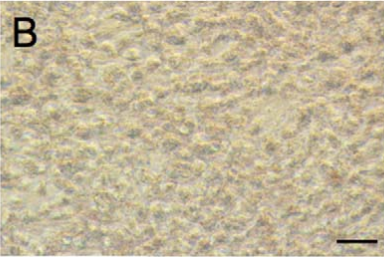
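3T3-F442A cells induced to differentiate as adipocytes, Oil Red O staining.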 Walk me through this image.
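A confluent monolayer of cultured cells, seen in brightfield, in which no red-stained droplets are visible. The cells are flat, closely packed and fairly uniform, with pale outlines and a faint yellowish tone throughout the field.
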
